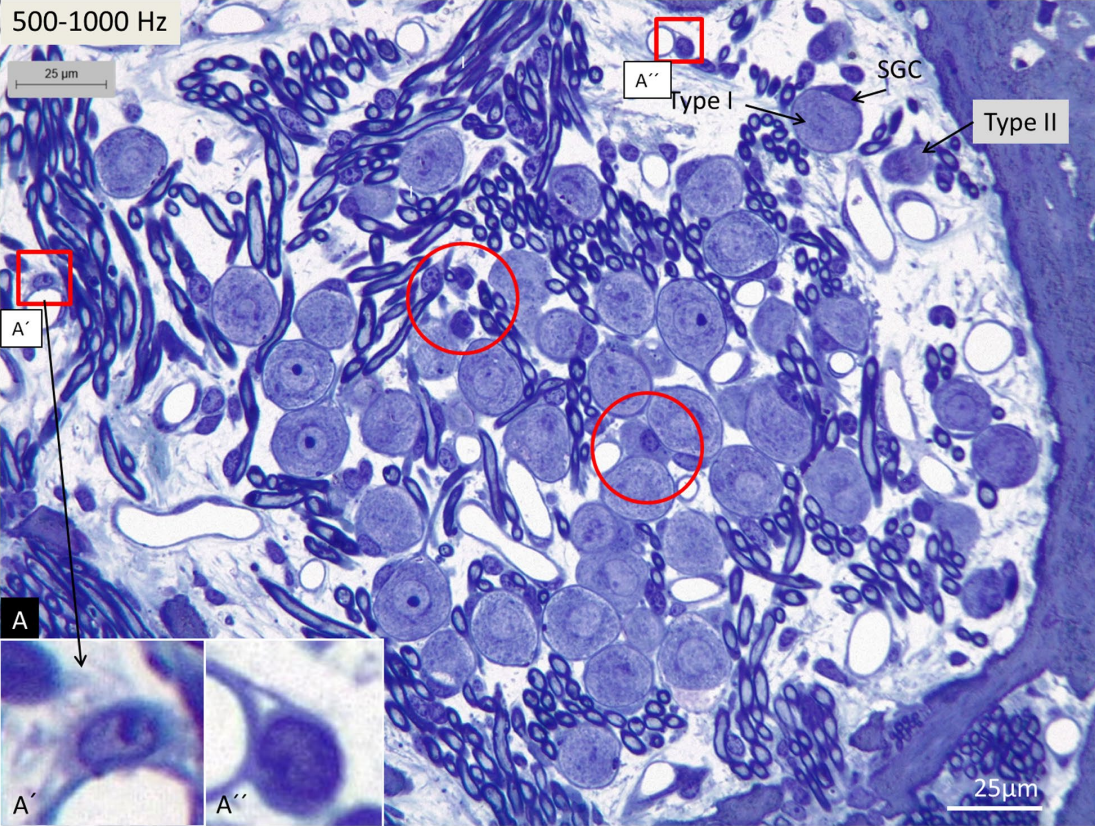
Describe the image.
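Spiral ganglion with clustered neuron cell bodies set among bundles of myelinated nerve fibres, cut both lengthwise and across. The larger neurons are round to oval with pale, finely granular cytoplasm, a central round nucleus and a conspicuous dark nucleolus, each rimmed by a thin layer of flattened satellite cells. Occasional smaller, darker neurons lie at the edge of the ganglion. Small dark-staining cells lie in the gaps between neuron cell bodies and beside vessels. Empty round and elongated vascular lumina are scattered through the tissue, and a band of bone borders the ganglion on the right.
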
